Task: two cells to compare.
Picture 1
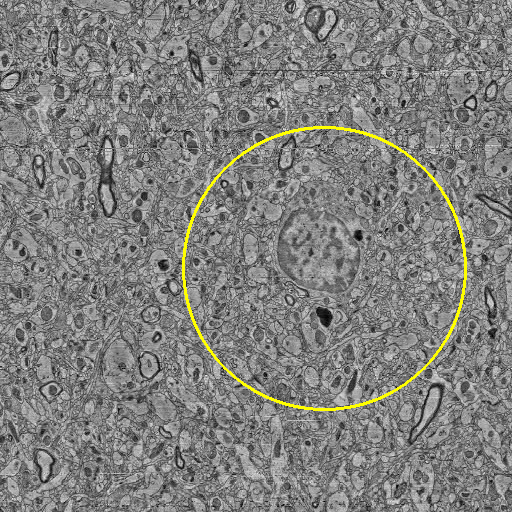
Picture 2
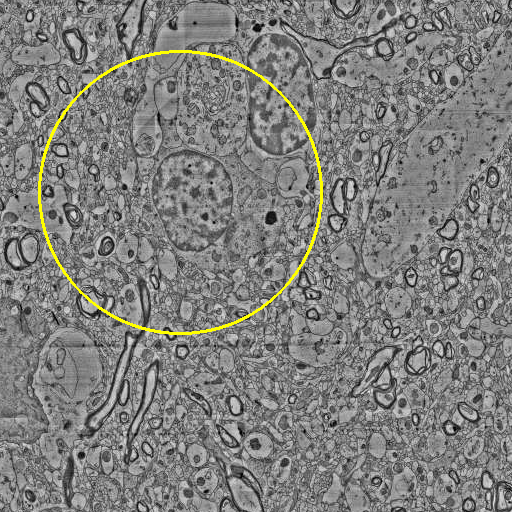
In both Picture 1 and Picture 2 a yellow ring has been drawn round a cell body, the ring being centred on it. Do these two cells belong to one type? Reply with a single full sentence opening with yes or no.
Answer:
Yes, the two cells at the ring centres in Picture 1 and Picture 2 share one type.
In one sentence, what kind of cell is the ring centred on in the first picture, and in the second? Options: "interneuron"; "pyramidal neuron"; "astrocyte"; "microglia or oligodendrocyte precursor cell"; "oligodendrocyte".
Each cell, in the first picture and the second, is an oligodendrocyte.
